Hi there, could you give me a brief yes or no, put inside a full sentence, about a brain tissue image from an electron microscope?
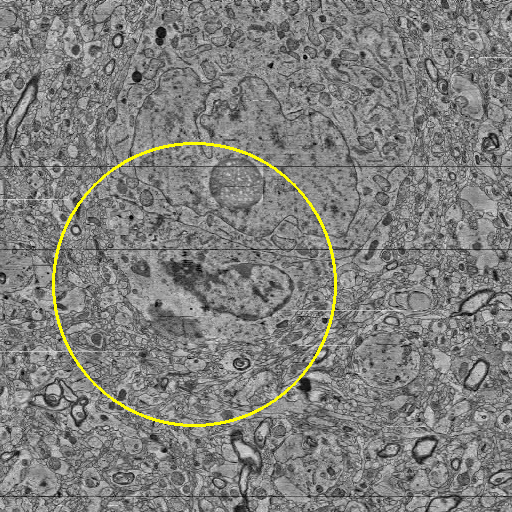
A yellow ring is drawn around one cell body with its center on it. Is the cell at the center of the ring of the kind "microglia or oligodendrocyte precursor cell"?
Yes, the cell found at the center of the yellow ring is of that kind.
